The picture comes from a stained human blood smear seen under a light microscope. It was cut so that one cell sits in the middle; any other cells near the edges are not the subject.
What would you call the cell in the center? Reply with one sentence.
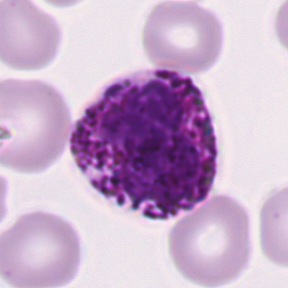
Centrally within this crop lies a basophil.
